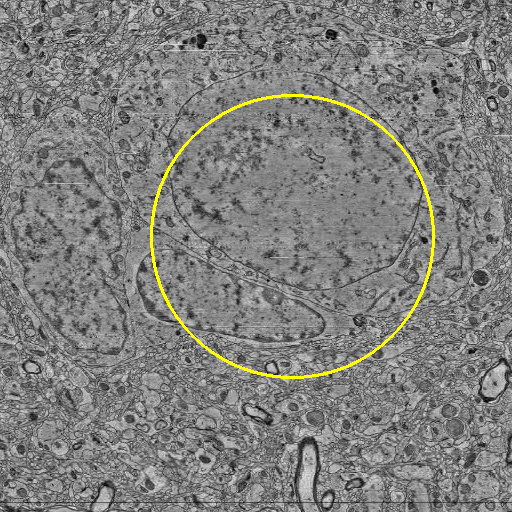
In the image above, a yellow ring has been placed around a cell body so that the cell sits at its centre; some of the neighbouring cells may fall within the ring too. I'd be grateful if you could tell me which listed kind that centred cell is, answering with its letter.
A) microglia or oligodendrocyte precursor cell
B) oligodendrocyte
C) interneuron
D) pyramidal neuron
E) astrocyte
D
